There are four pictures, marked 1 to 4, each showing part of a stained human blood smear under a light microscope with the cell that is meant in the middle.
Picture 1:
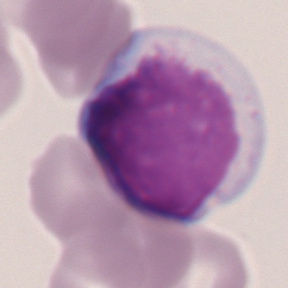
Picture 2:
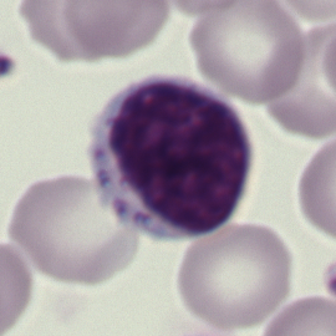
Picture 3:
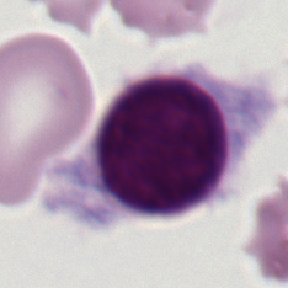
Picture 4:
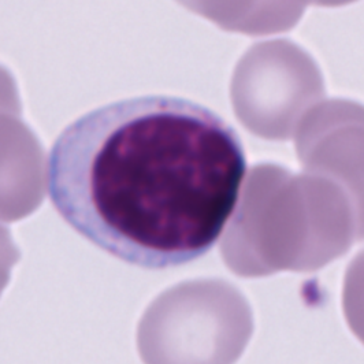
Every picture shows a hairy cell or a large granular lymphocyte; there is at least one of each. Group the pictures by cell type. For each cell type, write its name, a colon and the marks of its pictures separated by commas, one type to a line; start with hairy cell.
hairy cell: 3
large granular lymphocyte: 1, 2, 4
